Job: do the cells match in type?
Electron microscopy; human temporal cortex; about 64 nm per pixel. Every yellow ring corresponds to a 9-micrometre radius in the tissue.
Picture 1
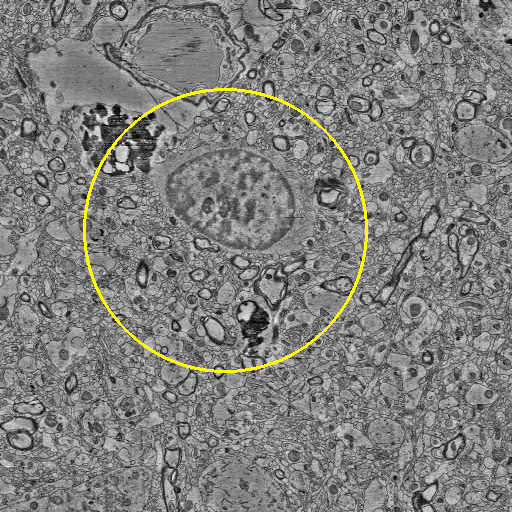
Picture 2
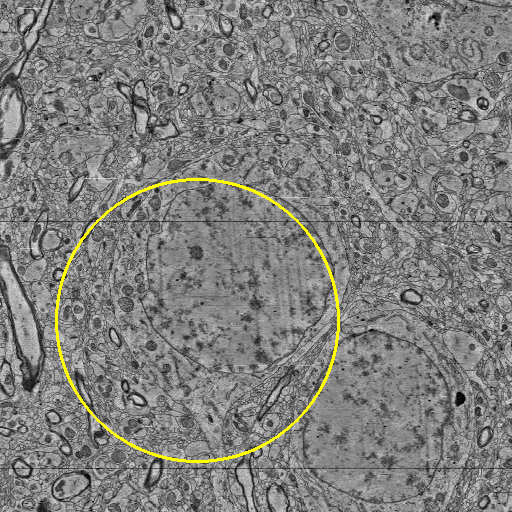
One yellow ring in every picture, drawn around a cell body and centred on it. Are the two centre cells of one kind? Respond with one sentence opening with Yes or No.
No, the ringed cells in the two pictures are of two separate kinds.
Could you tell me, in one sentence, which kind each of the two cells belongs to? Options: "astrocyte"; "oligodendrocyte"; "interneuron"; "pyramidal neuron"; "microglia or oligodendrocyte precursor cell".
At the centre of the first ring sits an oligodendrocyte, and at the centre of the second sits a pyramidal neuron.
